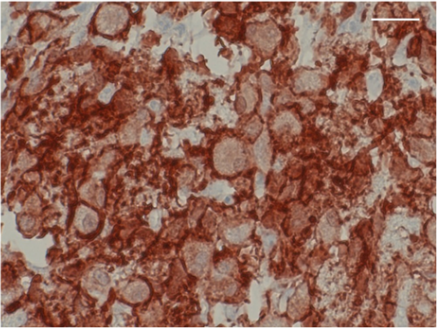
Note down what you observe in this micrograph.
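The cells are large and rounded, lack long processes, and lie packed closely together across almost the whole field. Many show a pale centre surrounded by a darker brown rim. Small clear spaces lie between some of the crowded cells.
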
